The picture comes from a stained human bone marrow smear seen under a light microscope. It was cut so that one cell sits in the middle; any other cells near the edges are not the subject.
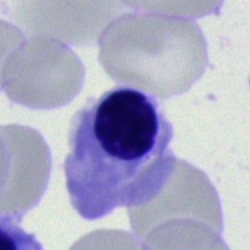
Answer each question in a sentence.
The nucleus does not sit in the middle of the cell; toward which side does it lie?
It is shifted toward the top of the cell.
